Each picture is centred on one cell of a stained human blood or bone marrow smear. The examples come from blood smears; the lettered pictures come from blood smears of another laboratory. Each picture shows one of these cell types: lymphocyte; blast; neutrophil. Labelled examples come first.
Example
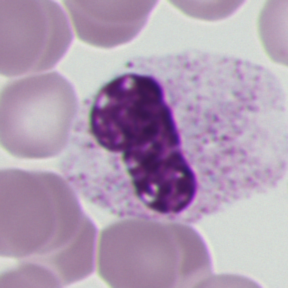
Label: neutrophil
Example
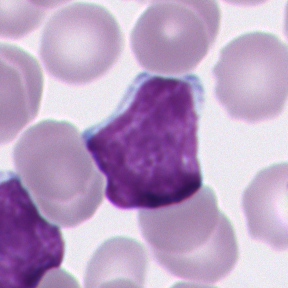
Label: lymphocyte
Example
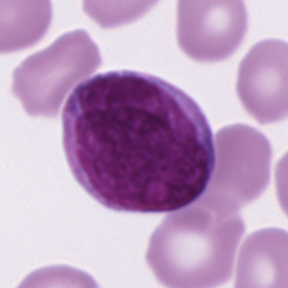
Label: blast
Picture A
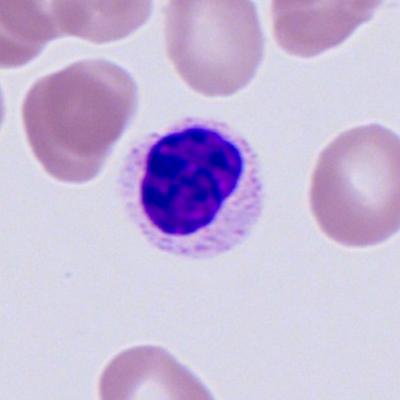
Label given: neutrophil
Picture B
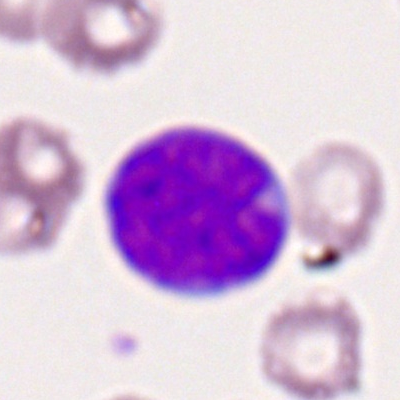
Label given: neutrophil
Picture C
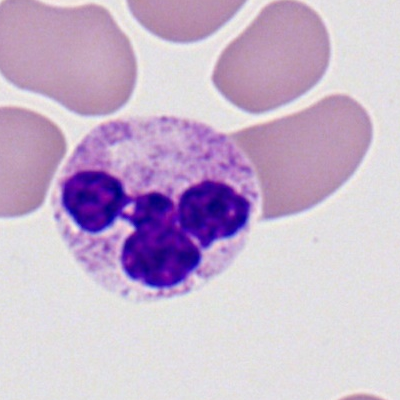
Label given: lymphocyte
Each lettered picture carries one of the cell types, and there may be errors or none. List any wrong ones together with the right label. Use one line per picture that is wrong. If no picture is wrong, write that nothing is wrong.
Wrong: B (neutrophil); correct: blast
Wrong: C (lymphocyte); correct: neutrophil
